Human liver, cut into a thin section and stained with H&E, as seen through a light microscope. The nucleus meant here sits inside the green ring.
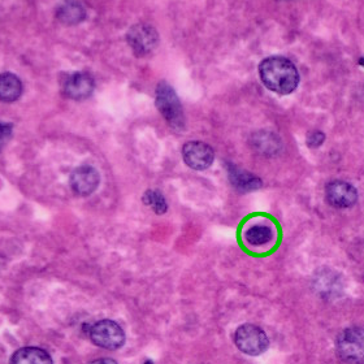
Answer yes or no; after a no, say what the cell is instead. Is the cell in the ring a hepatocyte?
No, it is a lymphocyte.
